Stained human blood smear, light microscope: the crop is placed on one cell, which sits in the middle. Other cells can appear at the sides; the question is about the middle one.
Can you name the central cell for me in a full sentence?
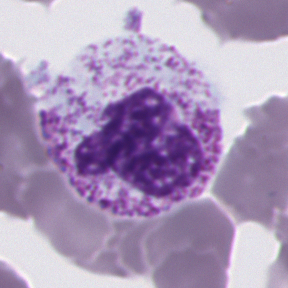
Within this crop, a segmented neutrophil occupies the central position.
